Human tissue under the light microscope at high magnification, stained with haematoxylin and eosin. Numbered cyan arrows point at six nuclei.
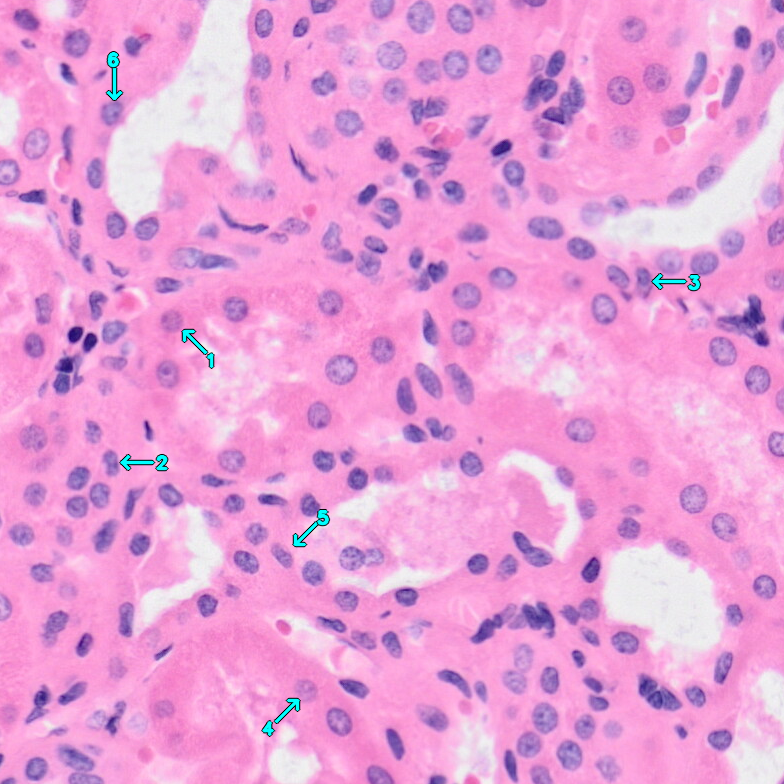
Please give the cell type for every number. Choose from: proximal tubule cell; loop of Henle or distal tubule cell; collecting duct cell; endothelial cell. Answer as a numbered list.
1. proximal tubule cell
2. loop of Henle or distal tubule cell
3. collecting duct cell
4. proximal tubule cell
5. loop of Henle or distal tubule cell
6. loop of Henle or distal tubule cell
